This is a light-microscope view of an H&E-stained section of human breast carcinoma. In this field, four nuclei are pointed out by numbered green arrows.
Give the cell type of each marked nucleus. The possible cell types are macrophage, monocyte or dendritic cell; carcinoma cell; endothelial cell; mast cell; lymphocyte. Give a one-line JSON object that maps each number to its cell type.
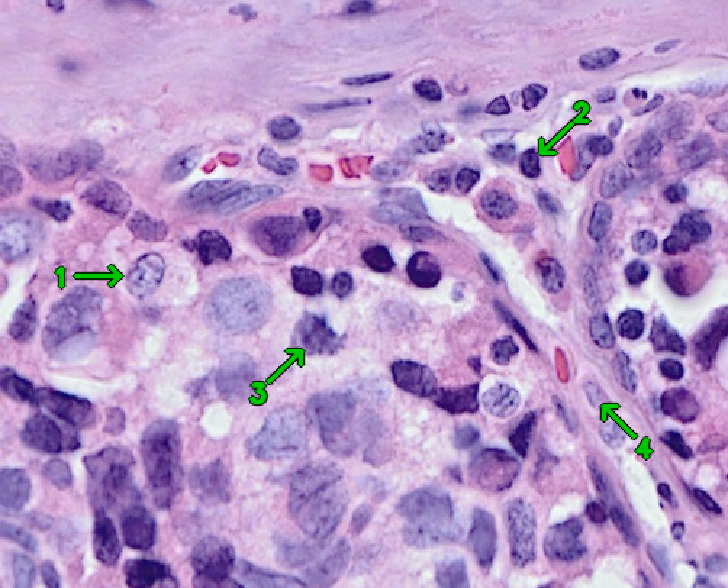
{"1": "macrophage, monocyte or dendritic cell", "2": "lymphocyte", "3": "carcinoma cell", "4": "endothelial cell"}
